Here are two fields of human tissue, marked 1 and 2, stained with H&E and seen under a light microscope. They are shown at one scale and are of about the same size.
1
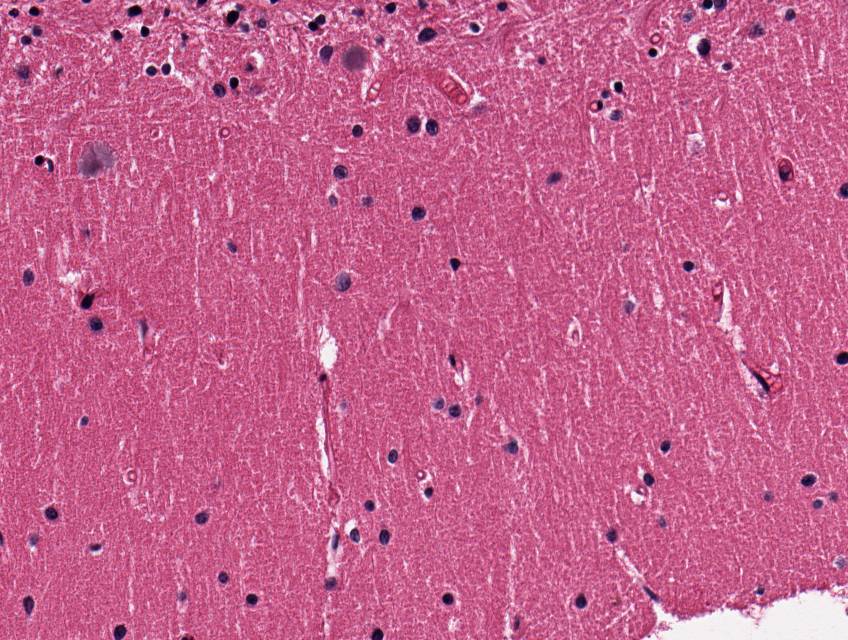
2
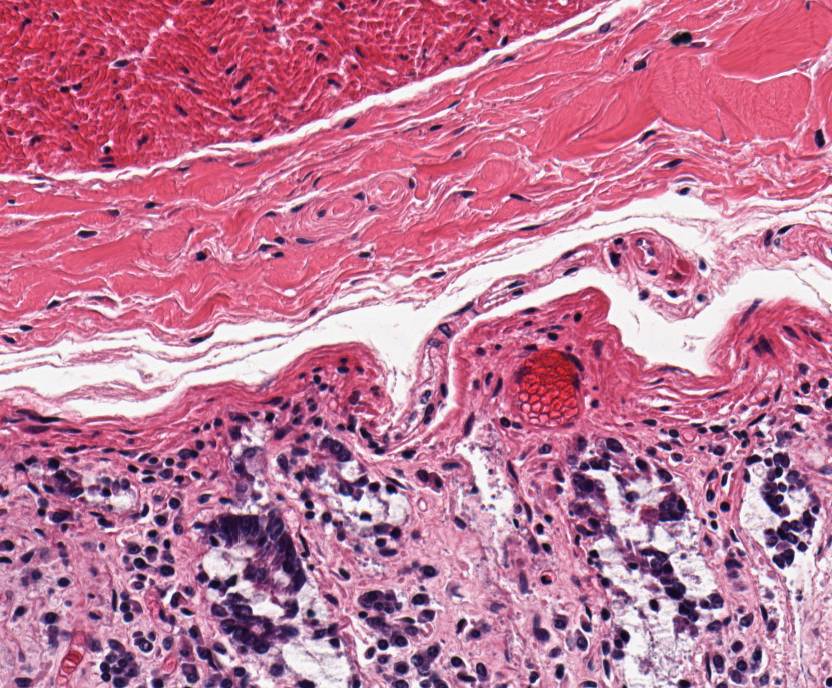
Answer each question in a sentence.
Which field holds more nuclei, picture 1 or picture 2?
There are more nuclei in picture 2.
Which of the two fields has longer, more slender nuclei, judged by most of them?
Longer, more slender nuclei lie in picture 2.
